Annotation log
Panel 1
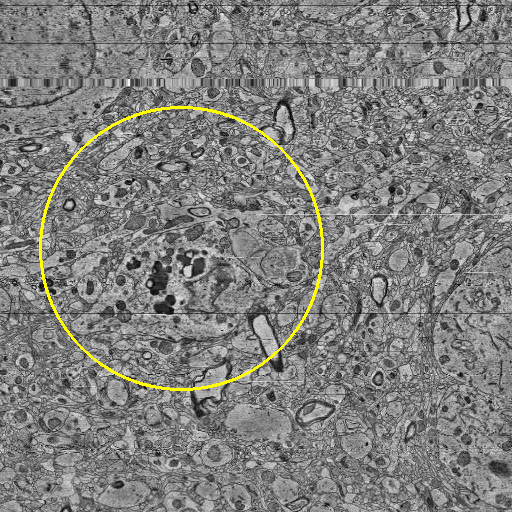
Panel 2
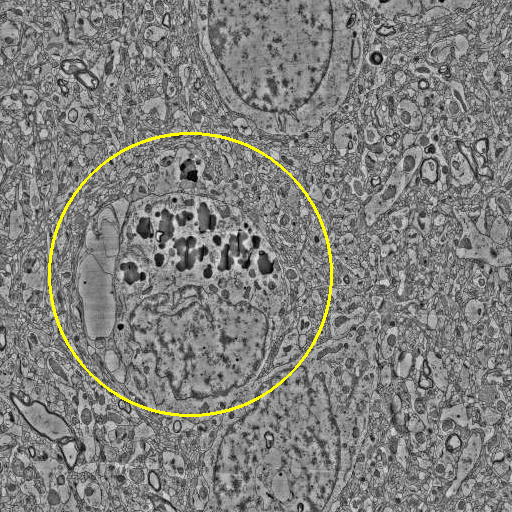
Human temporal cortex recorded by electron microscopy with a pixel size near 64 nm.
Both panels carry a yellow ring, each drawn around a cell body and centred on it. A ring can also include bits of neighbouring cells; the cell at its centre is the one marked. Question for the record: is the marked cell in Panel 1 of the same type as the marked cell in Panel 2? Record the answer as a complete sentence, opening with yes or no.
Yes, the marked cells in Panel 1 and Panel 2 are of the same type.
